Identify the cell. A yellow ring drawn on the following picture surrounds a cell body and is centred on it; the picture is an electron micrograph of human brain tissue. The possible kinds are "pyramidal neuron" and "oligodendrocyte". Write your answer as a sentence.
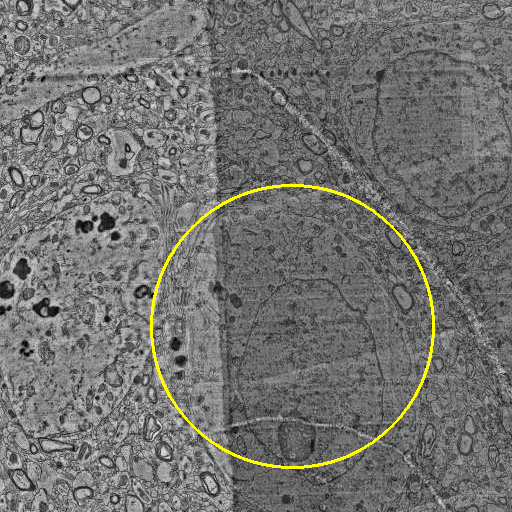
The cell identified by the ring is a pyramidal neuron.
